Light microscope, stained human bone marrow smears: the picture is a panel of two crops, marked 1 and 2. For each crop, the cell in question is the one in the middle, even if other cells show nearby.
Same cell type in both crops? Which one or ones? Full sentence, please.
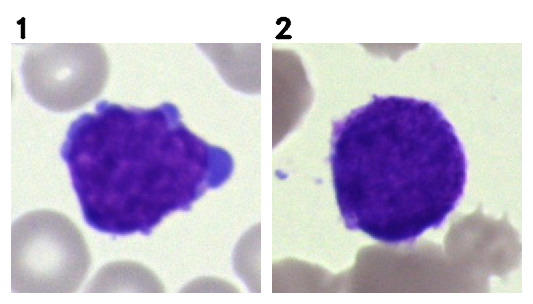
Yes, blasts are shown in both crops.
